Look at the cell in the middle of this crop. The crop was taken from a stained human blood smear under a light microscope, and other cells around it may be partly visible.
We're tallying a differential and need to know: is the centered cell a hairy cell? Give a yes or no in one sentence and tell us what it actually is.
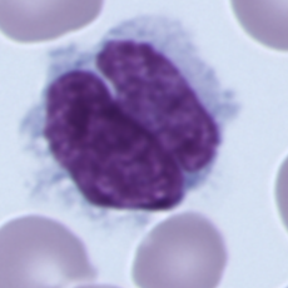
Yes, the cell at the crop's center is a hairy cell.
